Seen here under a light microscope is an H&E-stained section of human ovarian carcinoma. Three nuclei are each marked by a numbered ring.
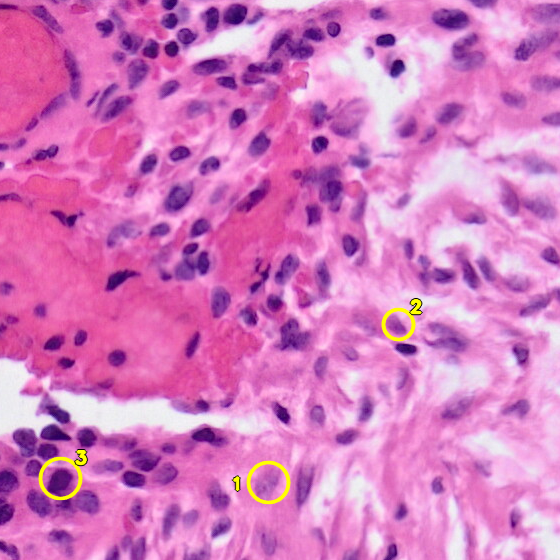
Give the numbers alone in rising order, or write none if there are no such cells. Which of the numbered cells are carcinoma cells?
3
